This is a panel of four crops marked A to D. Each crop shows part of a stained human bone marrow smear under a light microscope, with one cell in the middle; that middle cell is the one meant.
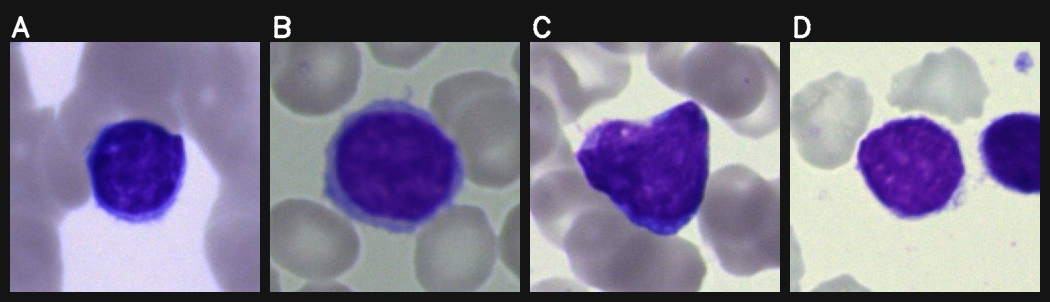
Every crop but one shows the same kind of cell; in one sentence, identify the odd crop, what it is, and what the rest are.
Crop C is the different one, a blast, while the rest are lymphocytes.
